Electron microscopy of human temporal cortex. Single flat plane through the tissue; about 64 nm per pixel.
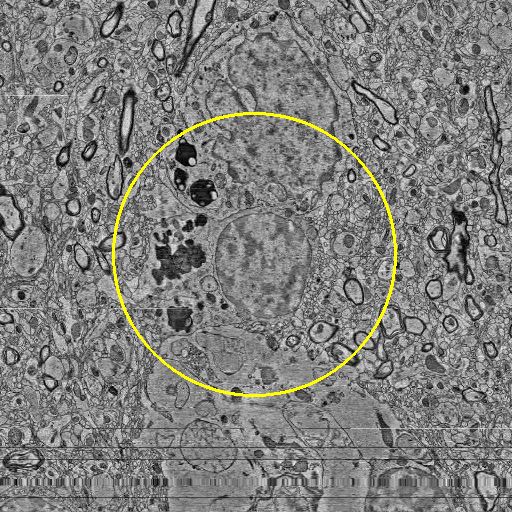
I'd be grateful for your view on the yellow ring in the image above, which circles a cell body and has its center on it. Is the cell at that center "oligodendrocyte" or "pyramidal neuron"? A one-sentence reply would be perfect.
The cell at the center of the yellow ring is an oligodendrocyte.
